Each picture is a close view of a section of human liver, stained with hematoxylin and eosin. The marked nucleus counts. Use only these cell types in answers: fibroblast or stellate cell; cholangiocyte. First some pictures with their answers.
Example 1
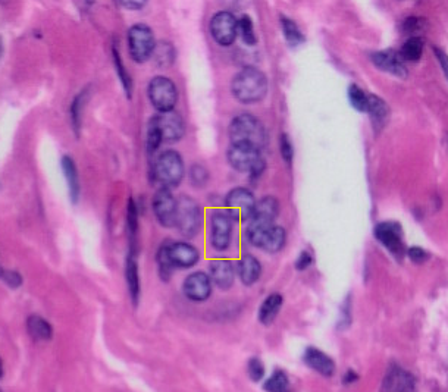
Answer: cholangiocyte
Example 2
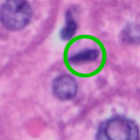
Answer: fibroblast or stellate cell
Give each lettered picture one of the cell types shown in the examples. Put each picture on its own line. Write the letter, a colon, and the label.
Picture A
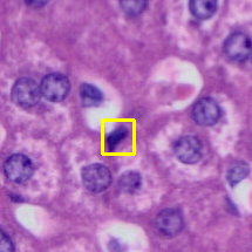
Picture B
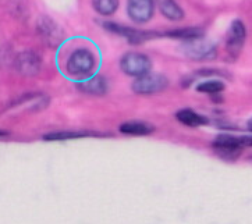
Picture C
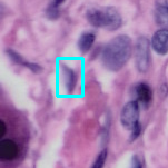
A: fibroblast or stellate cell
B: cholangiocyte
C: fibroblast or stellate cell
